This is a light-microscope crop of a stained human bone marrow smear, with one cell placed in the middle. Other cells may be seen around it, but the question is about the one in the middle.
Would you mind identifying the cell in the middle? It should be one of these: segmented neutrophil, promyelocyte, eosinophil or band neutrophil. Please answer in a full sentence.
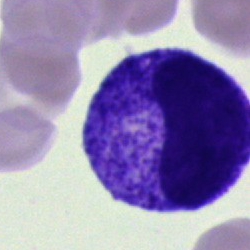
The cell at the middle of the frame should be recorded as a promyelocyte.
